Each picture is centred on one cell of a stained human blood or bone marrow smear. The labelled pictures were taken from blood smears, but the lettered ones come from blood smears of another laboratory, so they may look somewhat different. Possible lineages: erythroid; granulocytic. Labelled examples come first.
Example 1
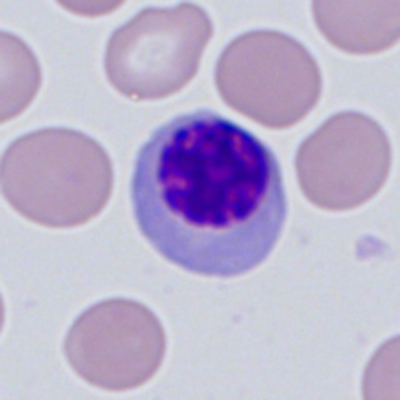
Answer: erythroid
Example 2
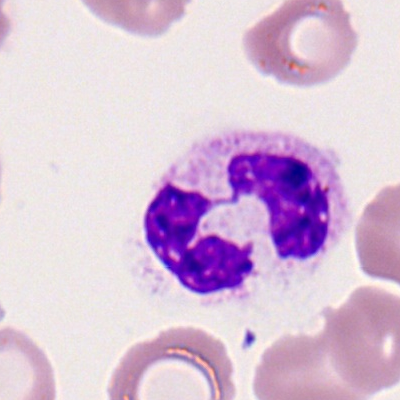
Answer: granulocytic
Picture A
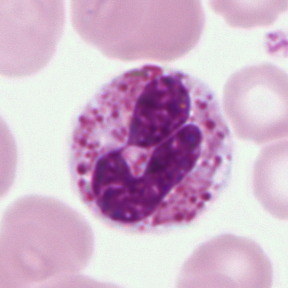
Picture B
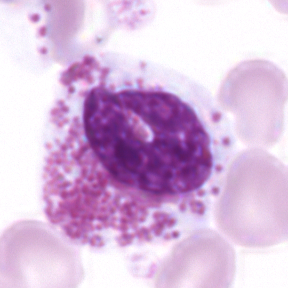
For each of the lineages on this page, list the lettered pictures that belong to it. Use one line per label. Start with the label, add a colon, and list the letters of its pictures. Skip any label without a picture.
granulocytic: A, B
